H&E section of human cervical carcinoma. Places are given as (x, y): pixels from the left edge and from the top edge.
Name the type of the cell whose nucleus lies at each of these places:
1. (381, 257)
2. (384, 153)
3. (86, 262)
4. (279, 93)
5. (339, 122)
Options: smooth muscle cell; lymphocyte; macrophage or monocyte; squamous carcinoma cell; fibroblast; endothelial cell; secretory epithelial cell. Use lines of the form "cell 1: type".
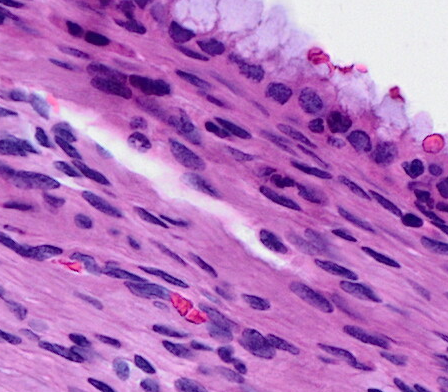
cell 1: fibroblast
cell 2: secretory epithelial cell
cell 3: endothelial cell
cell 4: secretory epithelial cell
cell 5: secretory epithelial cell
